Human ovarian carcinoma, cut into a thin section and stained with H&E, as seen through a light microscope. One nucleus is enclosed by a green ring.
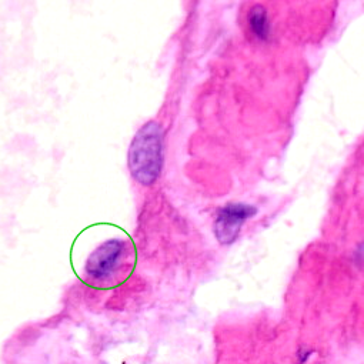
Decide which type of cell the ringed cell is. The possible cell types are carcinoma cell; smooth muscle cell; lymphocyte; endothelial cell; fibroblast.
endothelial cell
